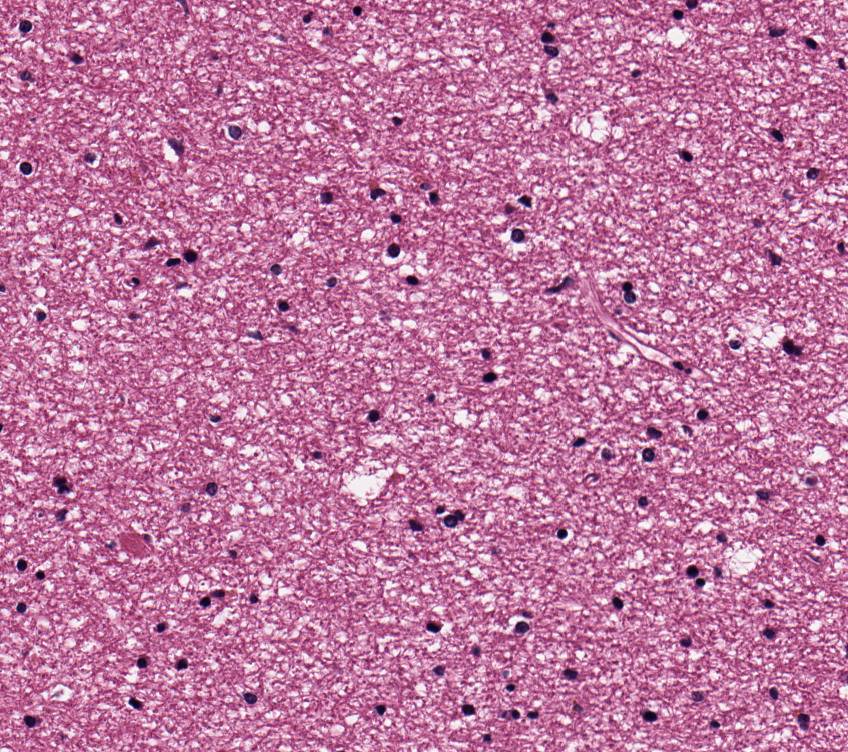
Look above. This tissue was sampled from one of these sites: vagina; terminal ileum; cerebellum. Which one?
cerebellum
